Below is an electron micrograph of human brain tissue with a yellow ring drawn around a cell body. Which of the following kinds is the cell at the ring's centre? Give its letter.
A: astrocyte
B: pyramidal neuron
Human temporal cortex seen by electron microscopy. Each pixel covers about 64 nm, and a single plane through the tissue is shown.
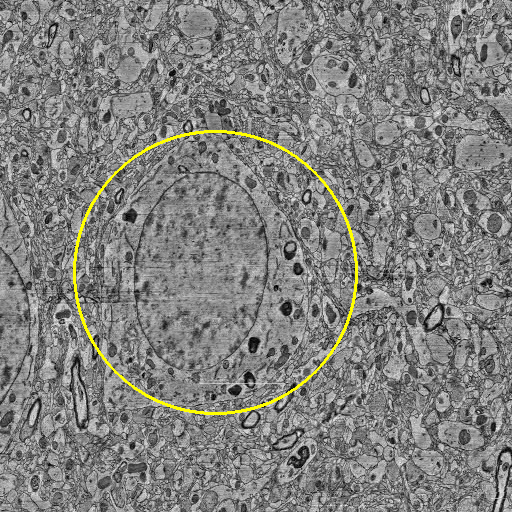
B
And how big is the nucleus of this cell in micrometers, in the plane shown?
The nucleus is about 13 micrometres in length and 8 in width, clearly longer than it is wide in this plane.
